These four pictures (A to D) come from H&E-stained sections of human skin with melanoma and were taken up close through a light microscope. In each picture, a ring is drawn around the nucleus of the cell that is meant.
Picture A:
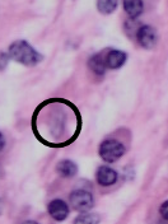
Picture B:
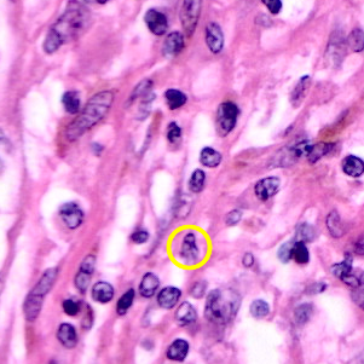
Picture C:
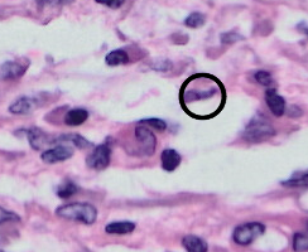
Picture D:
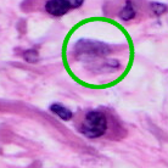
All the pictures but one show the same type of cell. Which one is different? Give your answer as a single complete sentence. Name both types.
All pictures except B show “fibroblasts or myofibroblasts”; picture B shows a lymphocyte.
